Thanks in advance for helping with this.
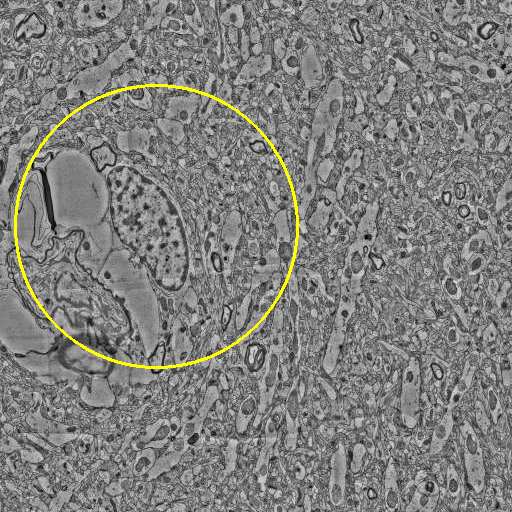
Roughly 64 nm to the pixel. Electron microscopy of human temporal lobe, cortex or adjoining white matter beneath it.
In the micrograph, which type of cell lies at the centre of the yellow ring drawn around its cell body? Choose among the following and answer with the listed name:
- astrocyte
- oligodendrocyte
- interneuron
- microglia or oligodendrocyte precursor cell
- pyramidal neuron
microglia or oligodendrocyte precursor cell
